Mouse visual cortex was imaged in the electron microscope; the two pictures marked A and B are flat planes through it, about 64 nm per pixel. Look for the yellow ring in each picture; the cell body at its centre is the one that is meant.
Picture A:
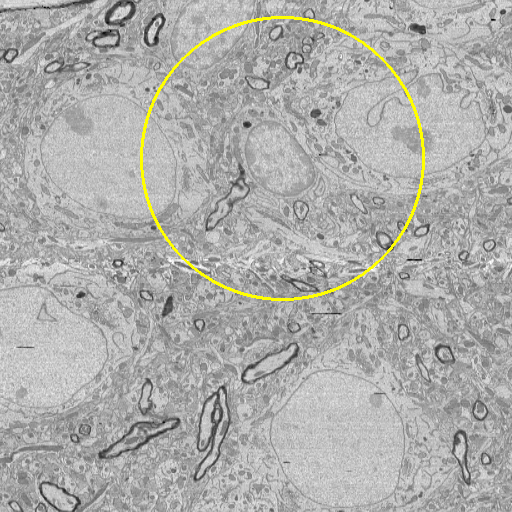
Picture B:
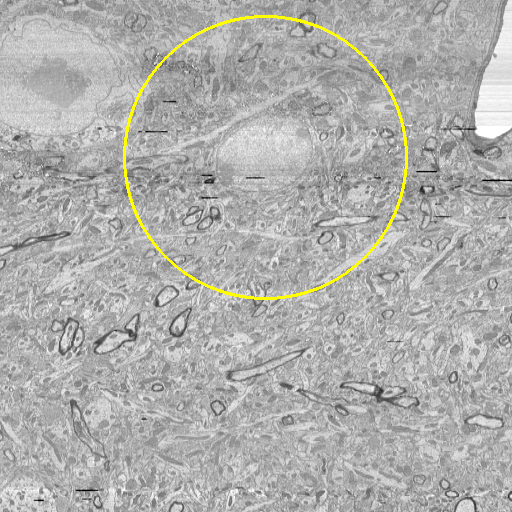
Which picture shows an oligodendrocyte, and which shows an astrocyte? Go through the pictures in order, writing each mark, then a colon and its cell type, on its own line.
A: oligodendrocyte
B: astrocyte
